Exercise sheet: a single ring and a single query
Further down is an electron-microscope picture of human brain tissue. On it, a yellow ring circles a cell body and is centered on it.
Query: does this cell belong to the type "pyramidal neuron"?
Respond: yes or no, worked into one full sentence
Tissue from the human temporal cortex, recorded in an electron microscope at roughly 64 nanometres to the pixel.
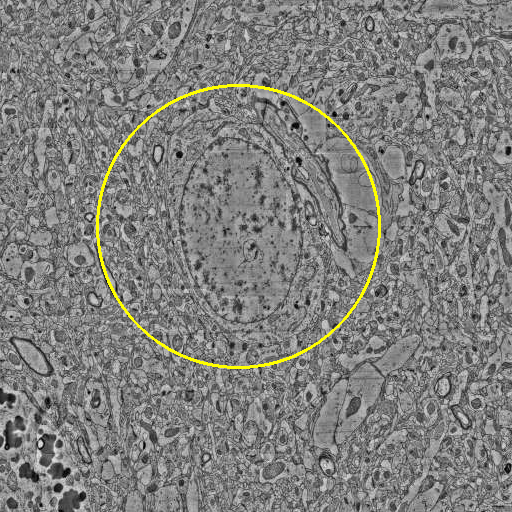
Yes, this ringed cell, found at the center of the ring in the picture, is of that type.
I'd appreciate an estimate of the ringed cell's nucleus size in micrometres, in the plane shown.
The nucleus is about 12 micrometres in length and 8 in width, clearly longer than it is wide in this plane.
